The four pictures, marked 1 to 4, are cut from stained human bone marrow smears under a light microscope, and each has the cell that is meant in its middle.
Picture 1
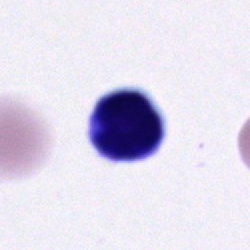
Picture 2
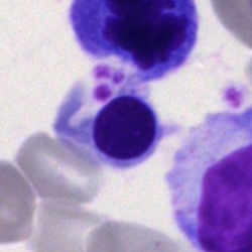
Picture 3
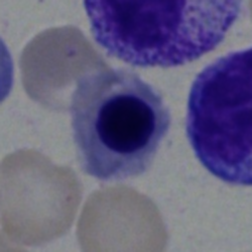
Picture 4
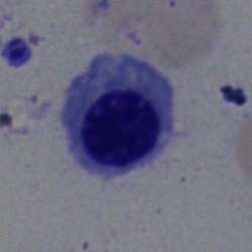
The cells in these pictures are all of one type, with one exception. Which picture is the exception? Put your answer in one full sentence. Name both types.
The others show erythroblasts, but picture 1 shows a lymphocyte.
